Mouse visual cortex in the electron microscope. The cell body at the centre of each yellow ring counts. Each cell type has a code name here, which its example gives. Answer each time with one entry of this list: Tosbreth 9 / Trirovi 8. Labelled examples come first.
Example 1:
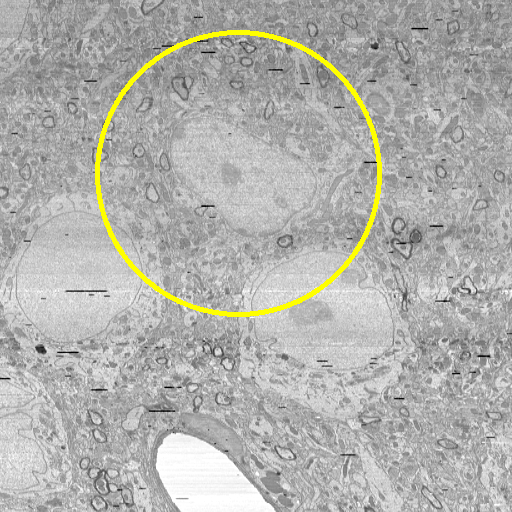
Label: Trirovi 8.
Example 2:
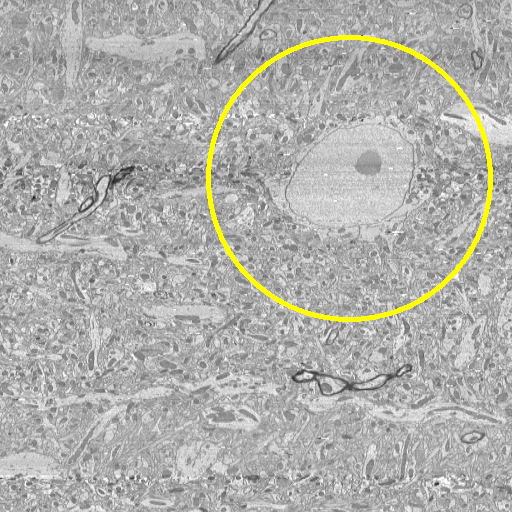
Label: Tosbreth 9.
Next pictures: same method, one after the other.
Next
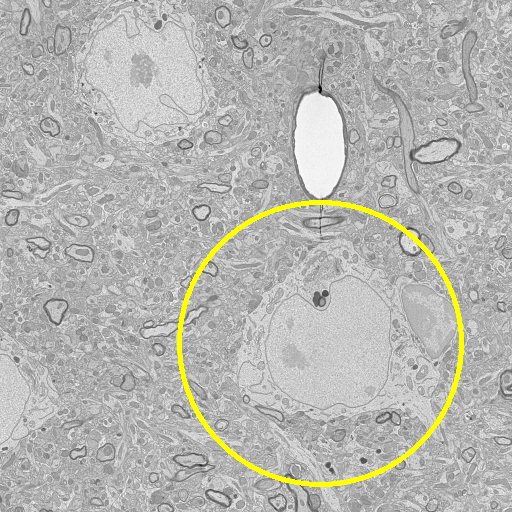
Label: Tosbreth 9.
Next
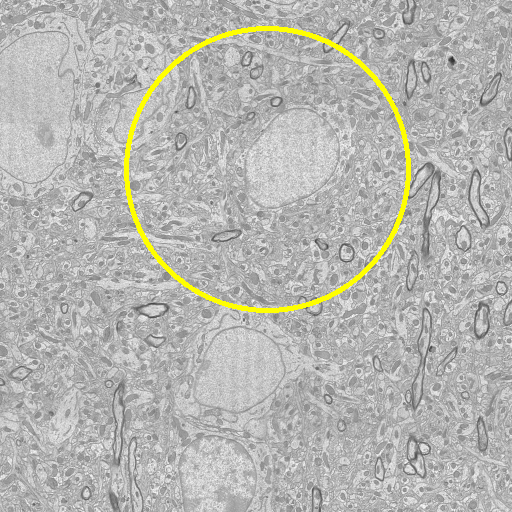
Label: Trirovi 8.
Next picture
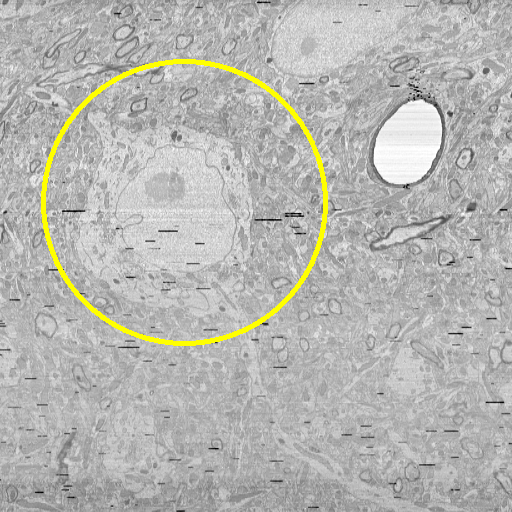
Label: Tosbreth 9.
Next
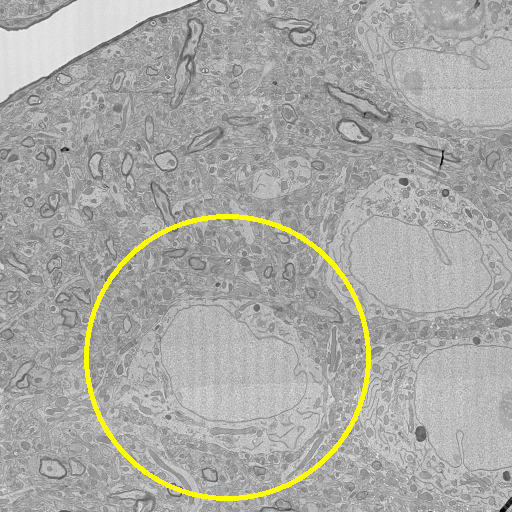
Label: Tosbreth 9.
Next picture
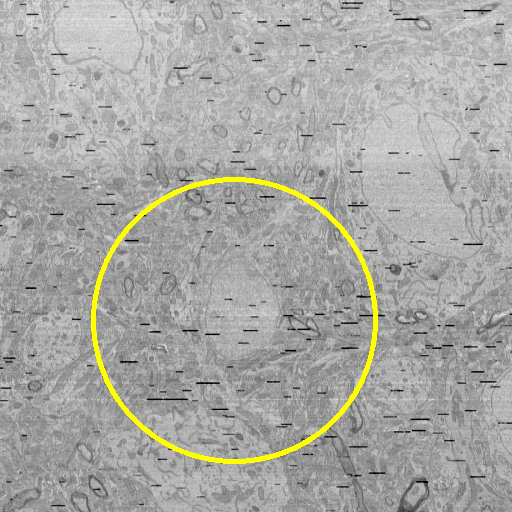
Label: Trirovi 8.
